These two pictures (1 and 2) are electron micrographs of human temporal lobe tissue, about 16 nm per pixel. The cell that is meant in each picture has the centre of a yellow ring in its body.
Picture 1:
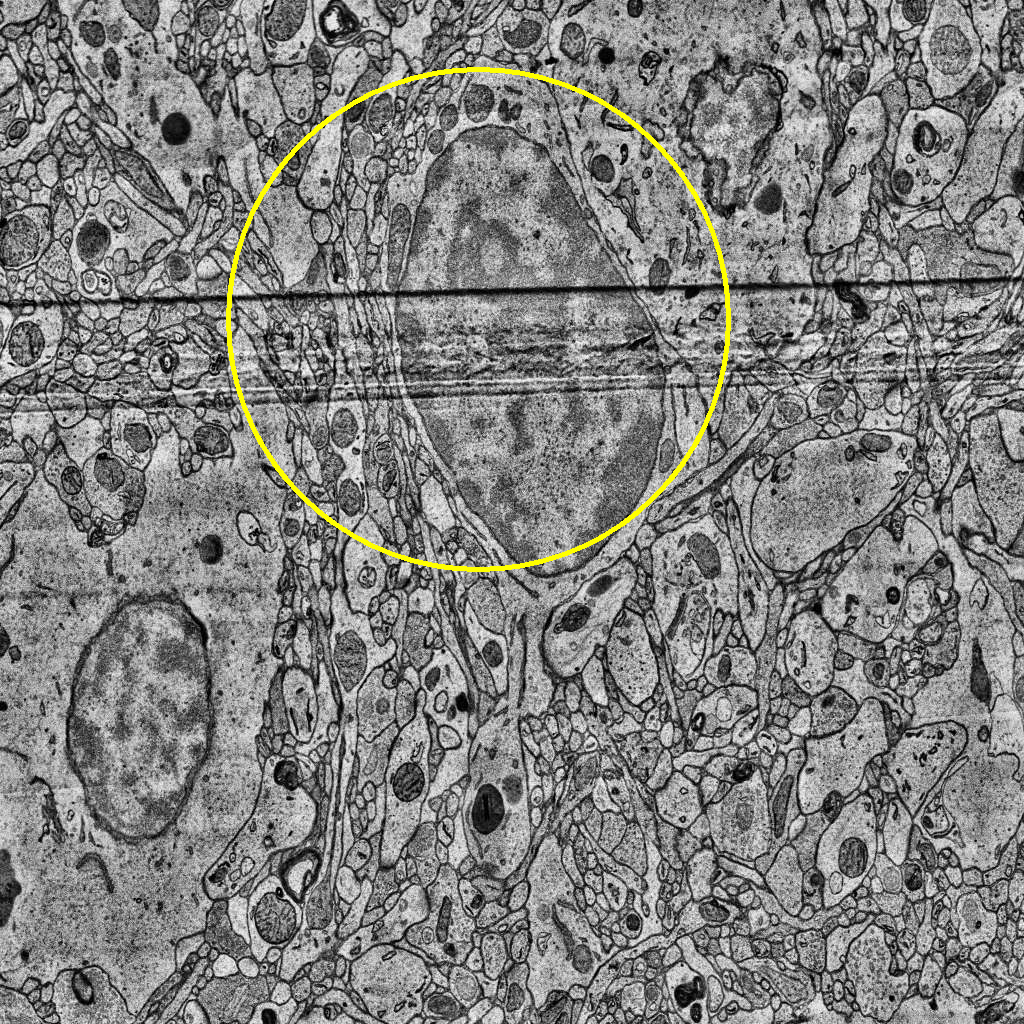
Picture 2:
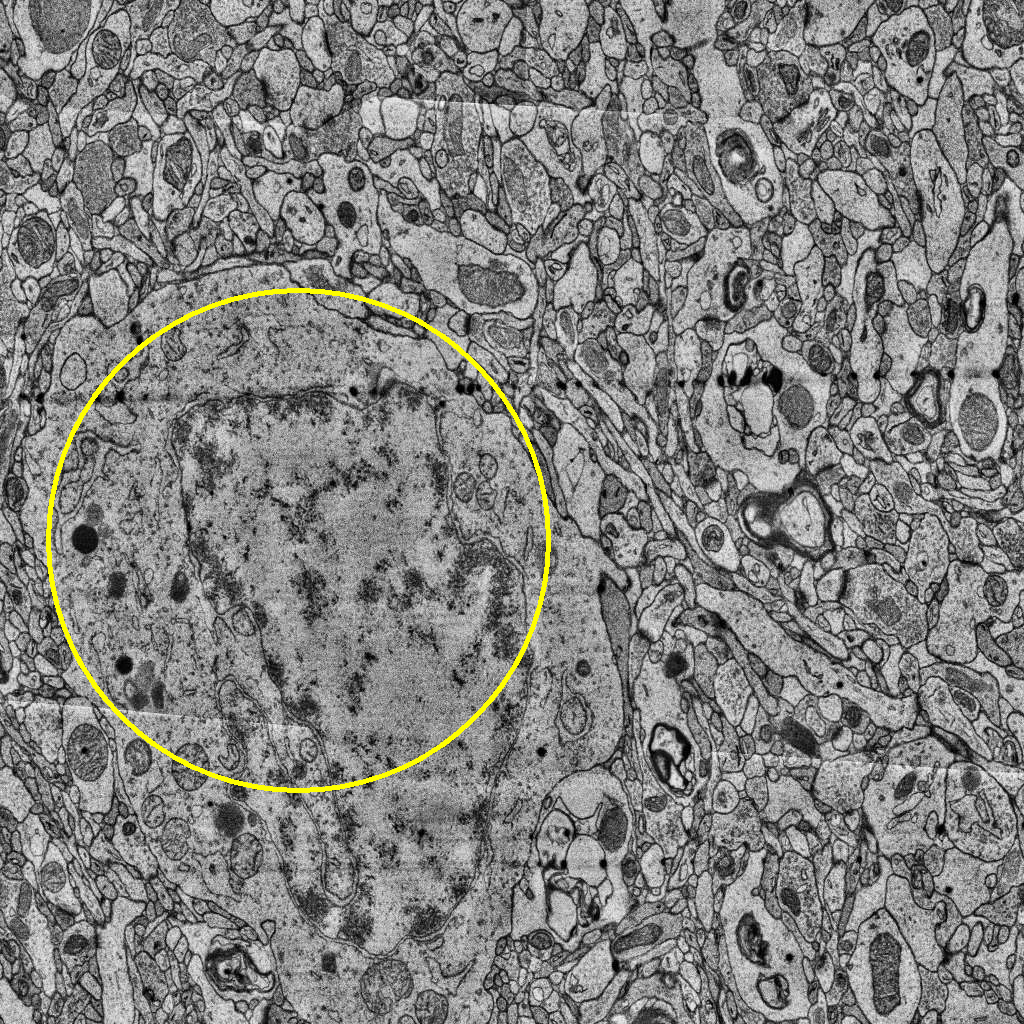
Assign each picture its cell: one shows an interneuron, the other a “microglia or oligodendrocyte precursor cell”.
In picture 1 the cell is a “microglia or oligodendrocyte precursor cell”; in picture 2, an interneuron.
